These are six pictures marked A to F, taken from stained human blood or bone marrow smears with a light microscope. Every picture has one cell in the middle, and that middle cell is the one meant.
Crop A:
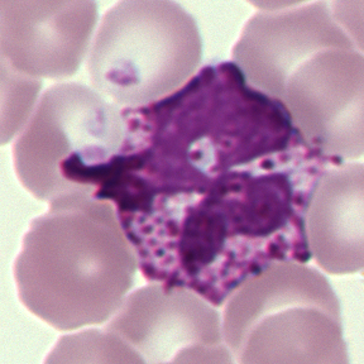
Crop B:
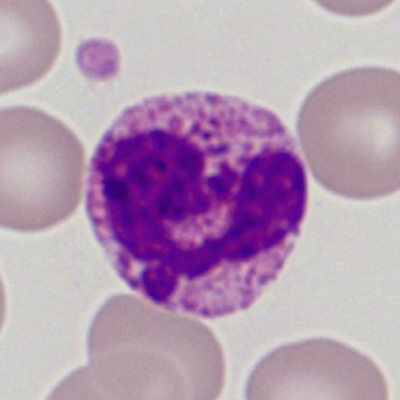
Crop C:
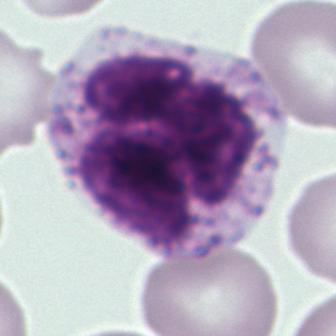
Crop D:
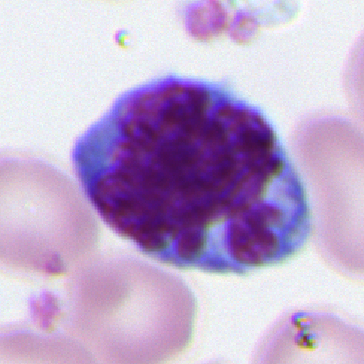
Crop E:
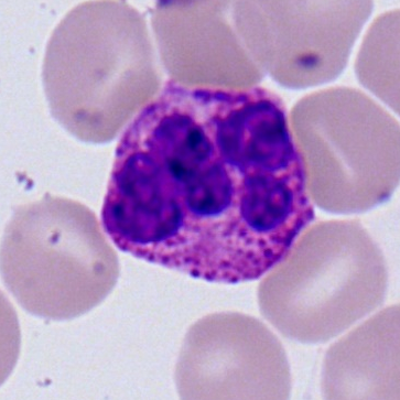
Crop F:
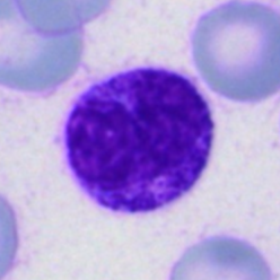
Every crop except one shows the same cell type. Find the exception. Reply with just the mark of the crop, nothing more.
D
